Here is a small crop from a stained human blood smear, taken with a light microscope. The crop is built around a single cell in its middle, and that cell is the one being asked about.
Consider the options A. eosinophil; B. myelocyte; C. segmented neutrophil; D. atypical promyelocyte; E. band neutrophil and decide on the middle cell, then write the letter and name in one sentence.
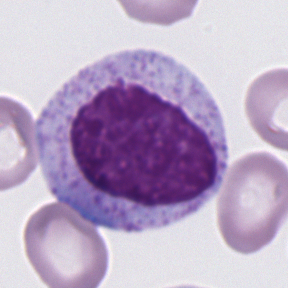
In this crop the central cell is a myelocyte, which option B correctly states.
